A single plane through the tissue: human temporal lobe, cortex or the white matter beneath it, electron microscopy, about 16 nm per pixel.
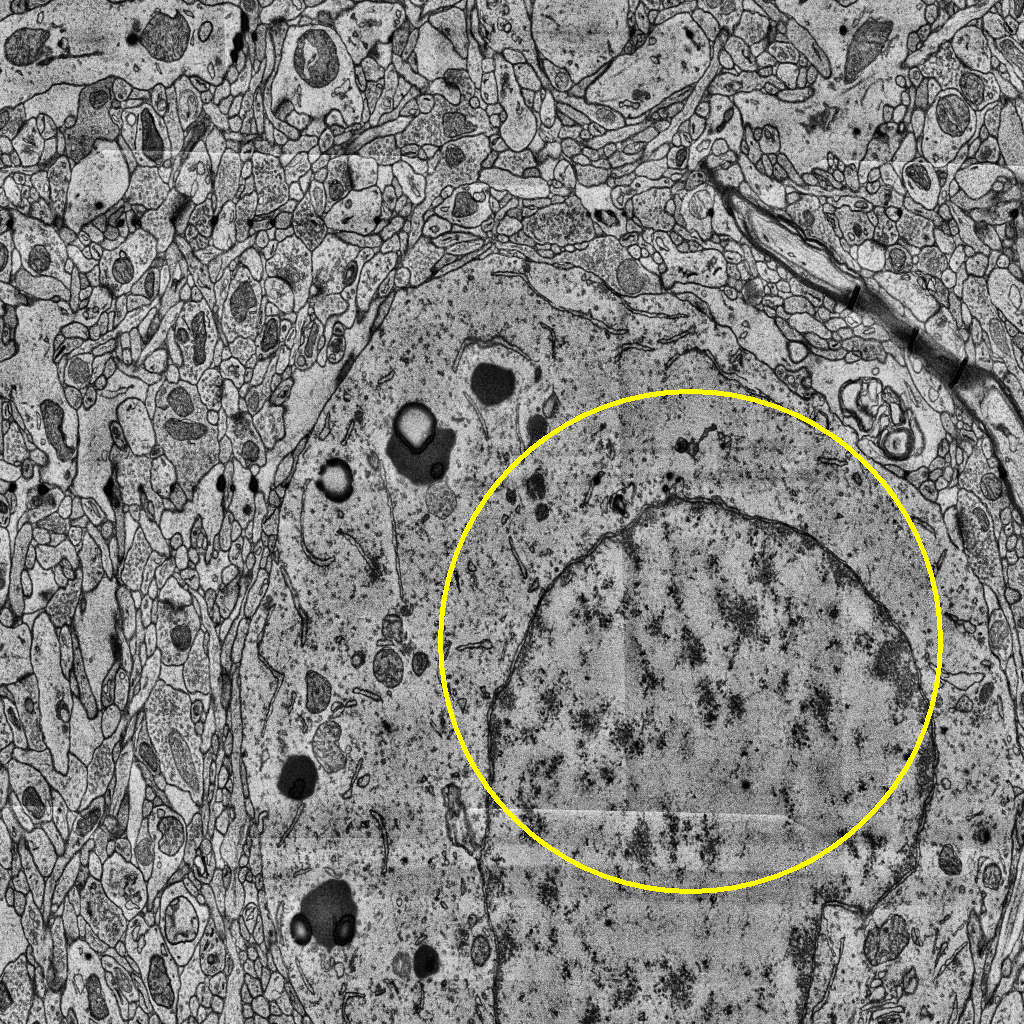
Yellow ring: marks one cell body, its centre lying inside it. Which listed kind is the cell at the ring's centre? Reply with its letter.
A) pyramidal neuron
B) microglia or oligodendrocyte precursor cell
A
